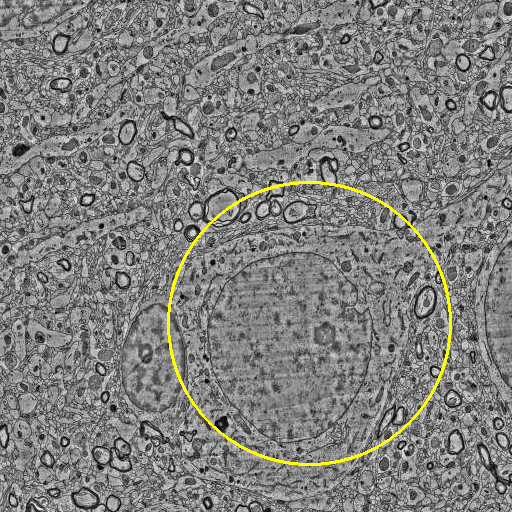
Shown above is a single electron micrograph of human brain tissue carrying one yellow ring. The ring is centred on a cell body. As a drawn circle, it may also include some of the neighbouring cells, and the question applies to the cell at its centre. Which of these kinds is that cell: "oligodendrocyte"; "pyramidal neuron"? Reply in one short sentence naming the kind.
The cell marked by the ring is a pyramidal neuron.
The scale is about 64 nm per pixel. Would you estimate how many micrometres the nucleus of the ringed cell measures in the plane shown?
In this plane the ringed cell's nucleus is roughly 12 micrometres across.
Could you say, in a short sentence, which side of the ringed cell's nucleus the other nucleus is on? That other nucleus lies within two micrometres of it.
That nucleus lies to the left of it.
